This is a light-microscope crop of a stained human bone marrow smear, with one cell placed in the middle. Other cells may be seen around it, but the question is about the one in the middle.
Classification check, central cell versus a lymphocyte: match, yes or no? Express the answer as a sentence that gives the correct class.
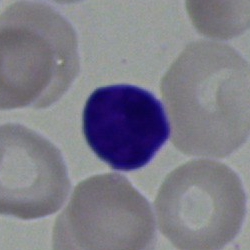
Yes, the cell under consideration, the one in the middle, is a lymphocyte.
